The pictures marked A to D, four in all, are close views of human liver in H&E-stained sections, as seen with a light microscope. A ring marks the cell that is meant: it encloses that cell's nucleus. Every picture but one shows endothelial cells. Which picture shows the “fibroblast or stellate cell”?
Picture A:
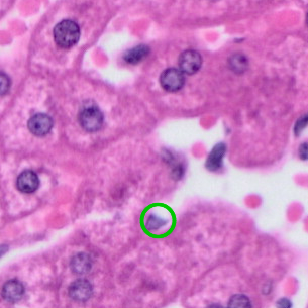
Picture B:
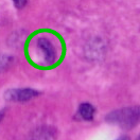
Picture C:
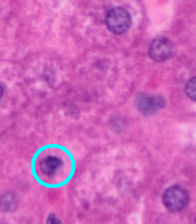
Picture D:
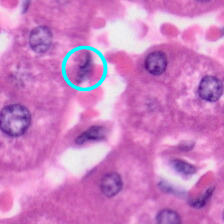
B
